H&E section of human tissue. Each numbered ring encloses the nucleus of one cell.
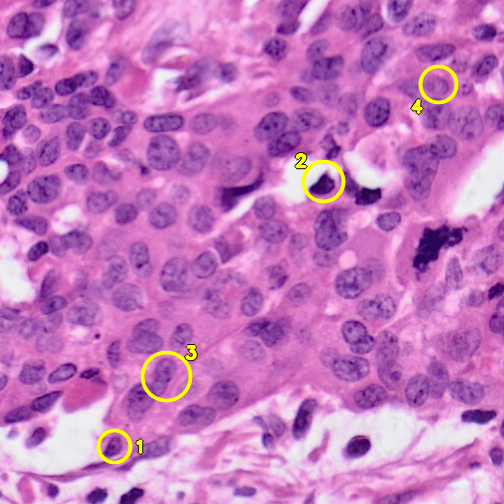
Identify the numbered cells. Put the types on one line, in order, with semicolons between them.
macrophage or monocyte; carcinoma cell; carcinoma cell; carcinoma cell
